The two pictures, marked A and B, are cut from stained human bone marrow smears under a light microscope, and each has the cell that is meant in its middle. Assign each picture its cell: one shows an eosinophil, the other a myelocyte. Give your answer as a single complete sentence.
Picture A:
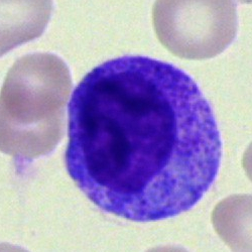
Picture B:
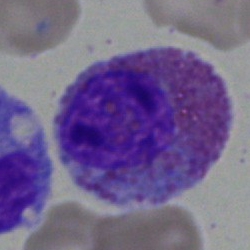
The cell in picture A is a myelocyte, and the one in picture B is an eosinophil.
